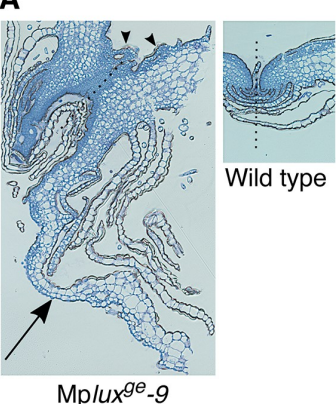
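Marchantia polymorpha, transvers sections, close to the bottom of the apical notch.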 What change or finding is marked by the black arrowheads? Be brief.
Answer: protrusions of the epidermal layer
